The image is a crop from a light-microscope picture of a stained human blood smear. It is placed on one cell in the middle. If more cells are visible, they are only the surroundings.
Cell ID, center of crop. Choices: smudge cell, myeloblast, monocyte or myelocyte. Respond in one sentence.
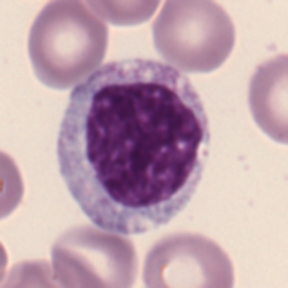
The centrally placed cell is classified as a myelocyte.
